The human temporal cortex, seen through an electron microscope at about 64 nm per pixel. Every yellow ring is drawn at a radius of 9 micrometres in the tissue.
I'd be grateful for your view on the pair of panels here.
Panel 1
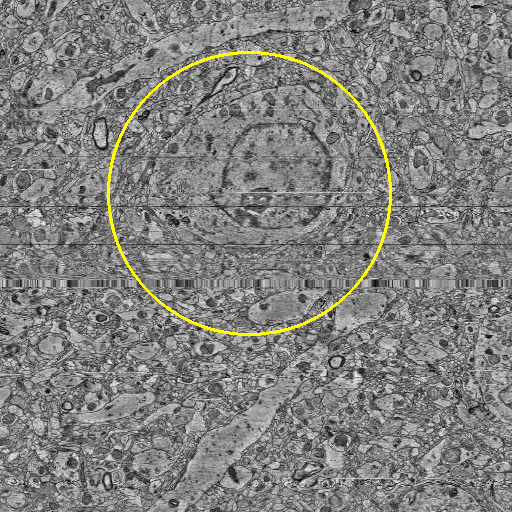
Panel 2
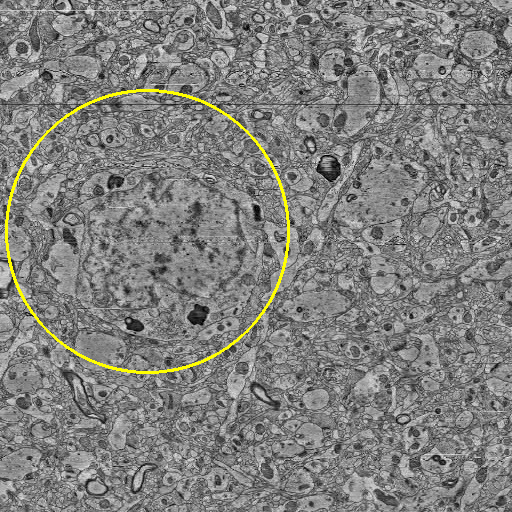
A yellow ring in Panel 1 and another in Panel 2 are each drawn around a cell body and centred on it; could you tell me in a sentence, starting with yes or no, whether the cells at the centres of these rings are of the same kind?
No, they are two kinds of cell.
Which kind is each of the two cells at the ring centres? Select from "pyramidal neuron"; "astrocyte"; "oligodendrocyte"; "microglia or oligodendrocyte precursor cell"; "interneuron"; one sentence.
The cell at the centre of the ring is a pyramidal neuron in the first picture and an interneuron in the second.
